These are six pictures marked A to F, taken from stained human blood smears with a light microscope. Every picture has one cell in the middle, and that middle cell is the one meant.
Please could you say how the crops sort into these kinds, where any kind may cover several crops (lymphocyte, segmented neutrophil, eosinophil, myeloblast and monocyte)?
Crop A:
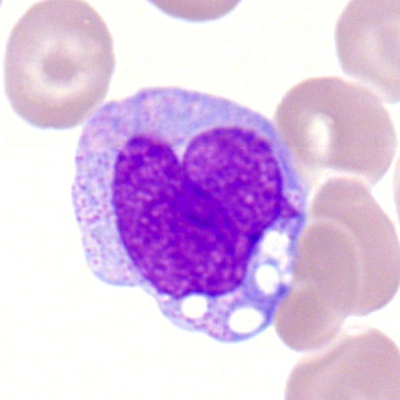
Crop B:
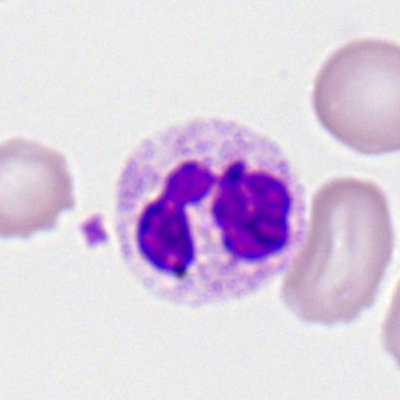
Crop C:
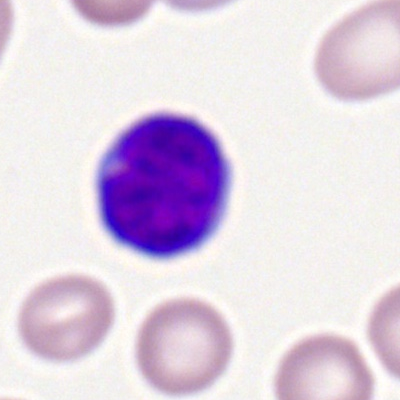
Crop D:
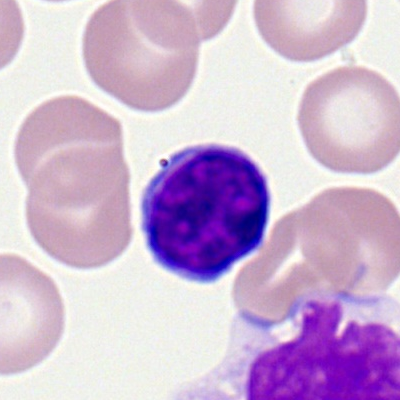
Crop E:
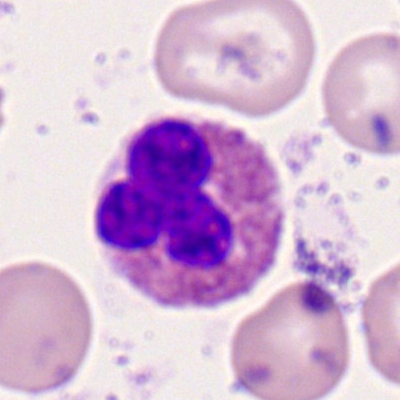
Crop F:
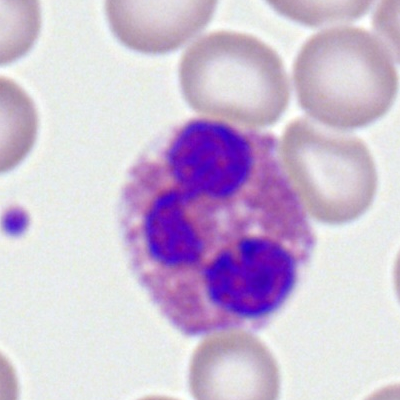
A: monocyte
B: segmented neutrophil
C: lymphocyte
D: lymphocyte
E: eosinophil
F: eosinophil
